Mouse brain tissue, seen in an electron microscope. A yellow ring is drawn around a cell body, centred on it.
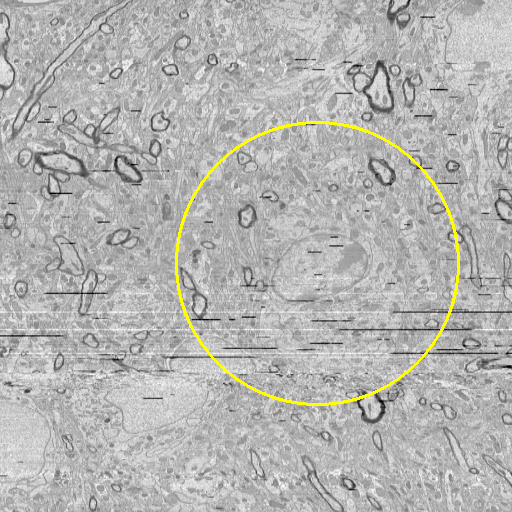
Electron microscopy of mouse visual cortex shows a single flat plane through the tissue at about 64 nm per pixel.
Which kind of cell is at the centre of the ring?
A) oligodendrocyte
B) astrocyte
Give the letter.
A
